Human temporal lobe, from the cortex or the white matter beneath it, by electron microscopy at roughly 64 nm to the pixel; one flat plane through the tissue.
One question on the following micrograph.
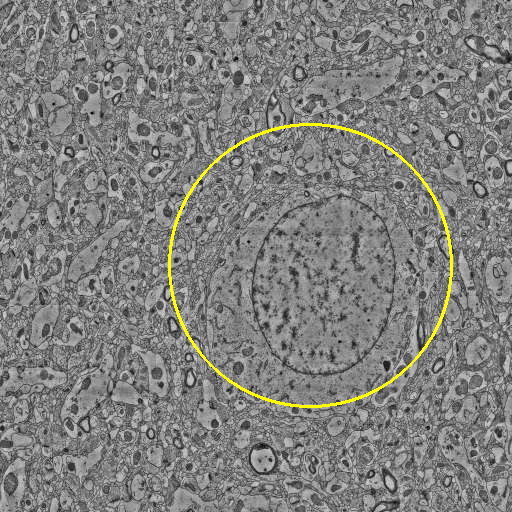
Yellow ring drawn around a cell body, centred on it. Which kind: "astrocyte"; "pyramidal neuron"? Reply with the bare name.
pyramidal neuron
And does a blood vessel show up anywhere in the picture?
No.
